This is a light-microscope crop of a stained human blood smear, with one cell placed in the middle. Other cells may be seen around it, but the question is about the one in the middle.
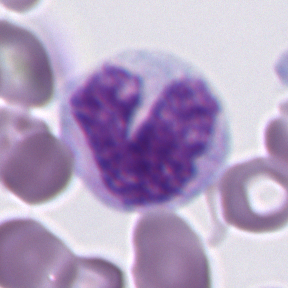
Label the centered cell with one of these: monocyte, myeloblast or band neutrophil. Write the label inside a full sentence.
Of the cells in this crop, the central one is a band neutrophil.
